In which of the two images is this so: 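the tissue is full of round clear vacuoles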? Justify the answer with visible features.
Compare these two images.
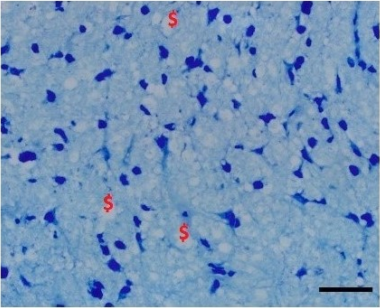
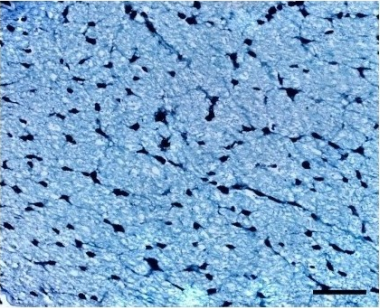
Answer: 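Second image: the fibrous tissue is compact and finely textured with no large clear holes. First image: numerous pale round empty spaces are scattered throughout the tissue. That points to this answer: the first image.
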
